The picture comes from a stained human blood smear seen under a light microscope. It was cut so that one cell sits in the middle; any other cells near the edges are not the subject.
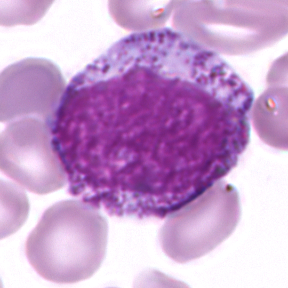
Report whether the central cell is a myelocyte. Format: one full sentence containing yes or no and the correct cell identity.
Yes, a myelocyte is what the central cell is.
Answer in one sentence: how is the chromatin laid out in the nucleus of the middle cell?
The chromatin is fine; coarse clumps are not a feature here.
